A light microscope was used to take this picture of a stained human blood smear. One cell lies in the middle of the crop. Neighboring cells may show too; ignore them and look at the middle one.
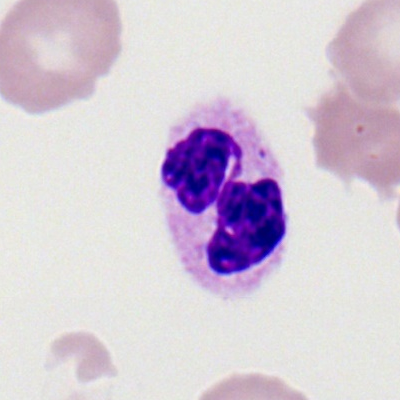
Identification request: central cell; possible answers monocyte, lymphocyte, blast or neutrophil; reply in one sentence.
The cell shown in the center of this light-microscope crop is a neutrophil.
